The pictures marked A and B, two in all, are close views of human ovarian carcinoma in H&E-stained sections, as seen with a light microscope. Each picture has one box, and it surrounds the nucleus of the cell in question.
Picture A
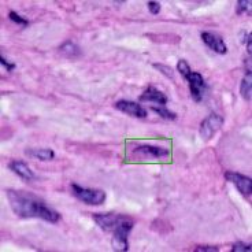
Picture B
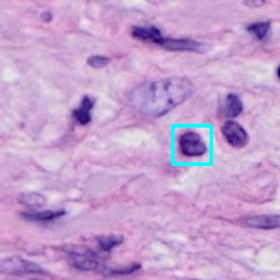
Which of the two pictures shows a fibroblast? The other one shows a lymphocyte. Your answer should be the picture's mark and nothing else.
A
